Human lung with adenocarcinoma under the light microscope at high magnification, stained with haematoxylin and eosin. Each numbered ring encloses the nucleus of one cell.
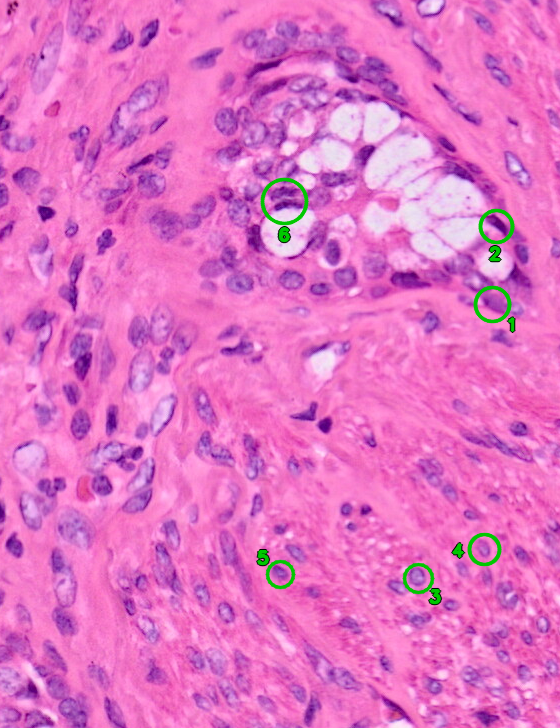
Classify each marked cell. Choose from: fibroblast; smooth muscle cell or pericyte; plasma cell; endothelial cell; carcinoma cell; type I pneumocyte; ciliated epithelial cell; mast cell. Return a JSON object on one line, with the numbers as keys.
{"1": "ciliated epithelial cell", "2": "ciliated epithelial cell", "3": "smooth muscle cell or pericyte", "4": "smooth muscle cell or pericyte", "5": "smooth muscle cell or pericyte", "6": "ciliated epithelial cell"}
